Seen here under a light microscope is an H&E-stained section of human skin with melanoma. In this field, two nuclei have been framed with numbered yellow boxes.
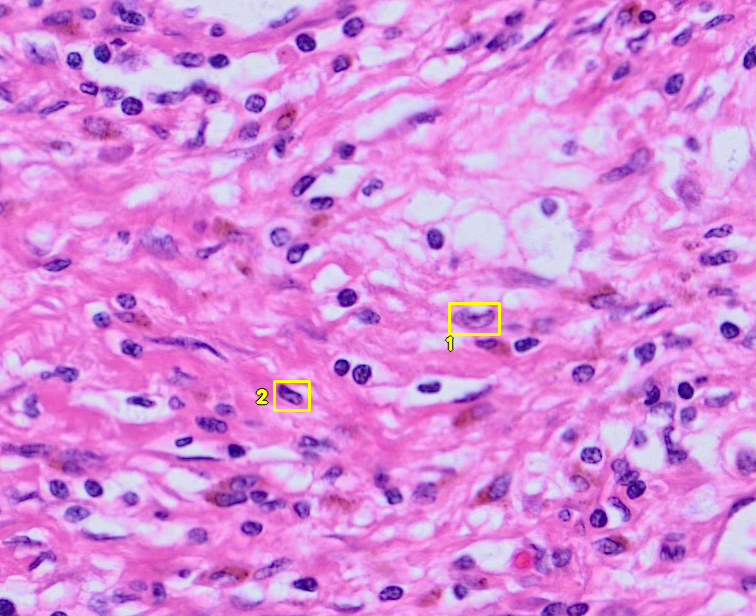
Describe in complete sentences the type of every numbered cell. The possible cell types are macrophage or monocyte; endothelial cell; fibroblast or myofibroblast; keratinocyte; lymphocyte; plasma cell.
Cell 1 is a fibroblast or myofibroblast and cell 2 is a lymphocyte.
